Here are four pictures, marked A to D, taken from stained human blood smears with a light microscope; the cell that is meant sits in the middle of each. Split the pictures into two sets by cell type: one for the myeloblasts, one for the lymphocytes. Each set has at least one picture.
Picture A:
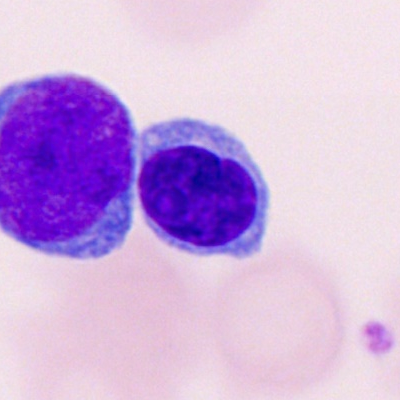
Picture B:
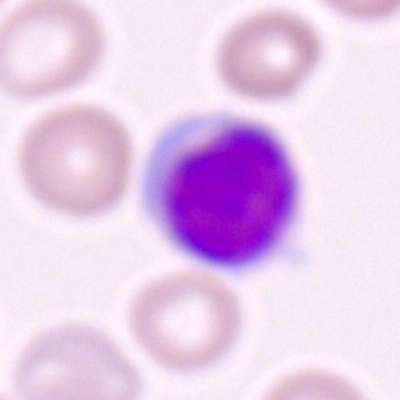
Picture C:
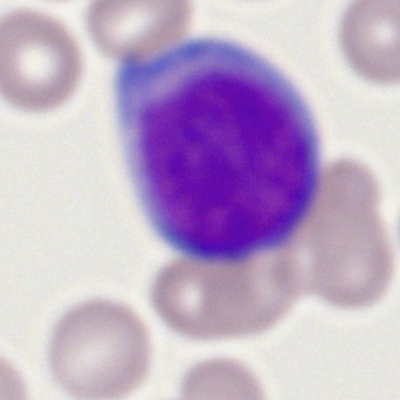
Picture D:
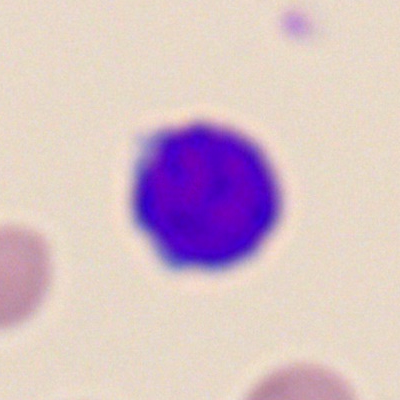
A: lymphocyte
B: lymphocyte
C: myeloblast
D: lymphocyte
